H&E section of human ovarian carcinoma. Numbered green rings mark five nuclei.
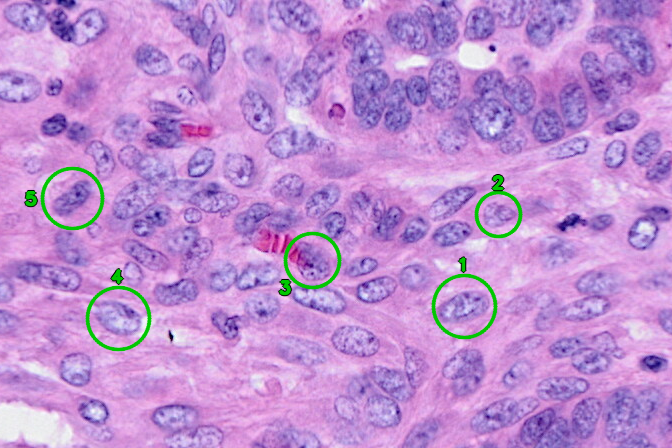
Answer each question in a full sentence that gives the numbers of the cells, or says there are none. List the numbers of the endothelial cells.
Only one marked cell, number 3, is an endothelial cell.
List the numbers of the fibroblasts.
Cells 1, 2 and 4 are fibroblasts by cell type.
